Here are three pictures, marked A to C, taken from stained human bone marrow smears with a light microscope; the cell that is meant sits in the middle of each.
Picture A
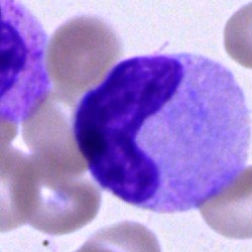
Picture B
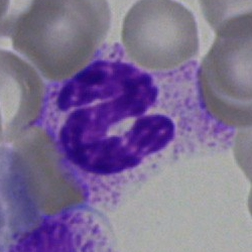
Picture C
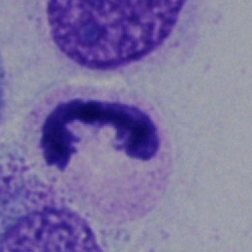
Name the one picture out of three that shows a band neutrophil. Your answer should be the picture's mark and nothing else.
A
